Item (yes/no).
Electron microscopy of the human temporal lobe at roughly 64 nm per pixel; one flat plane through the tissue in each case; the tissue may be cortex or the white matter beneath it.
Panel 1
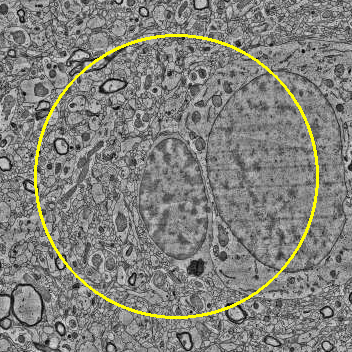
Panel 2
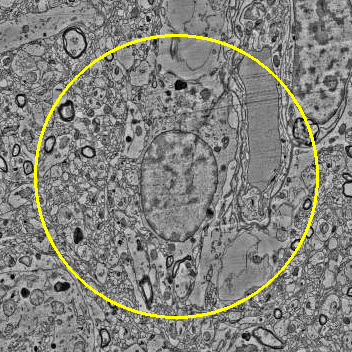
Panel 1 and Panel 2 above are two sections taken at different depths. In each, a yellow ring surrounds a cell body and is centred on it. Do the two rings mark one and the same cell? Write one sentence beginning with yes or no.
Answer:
No, the two rings are not on the same cell.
